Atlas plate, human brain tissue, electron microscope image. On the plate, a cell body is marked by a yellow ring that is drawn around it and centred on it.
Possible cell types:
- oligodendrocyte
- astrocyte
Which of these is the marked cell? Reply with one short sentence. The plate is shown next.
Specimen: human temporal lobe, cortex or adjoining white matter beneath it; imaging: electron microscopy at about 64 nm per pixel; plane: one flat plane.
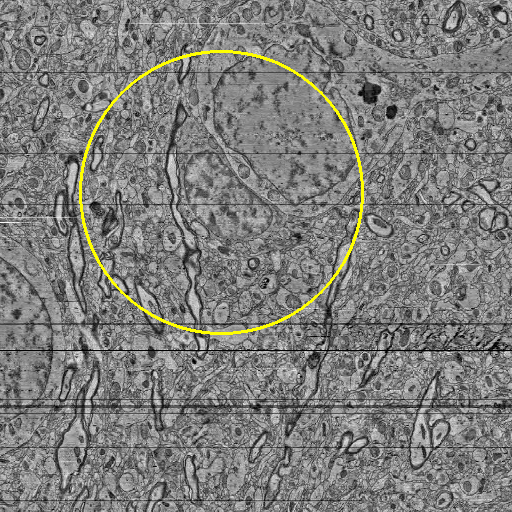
The marked cell is an oligodendrocyte.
